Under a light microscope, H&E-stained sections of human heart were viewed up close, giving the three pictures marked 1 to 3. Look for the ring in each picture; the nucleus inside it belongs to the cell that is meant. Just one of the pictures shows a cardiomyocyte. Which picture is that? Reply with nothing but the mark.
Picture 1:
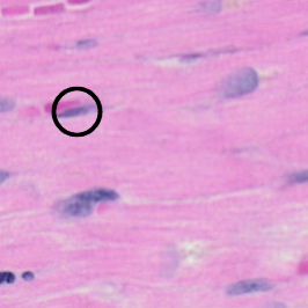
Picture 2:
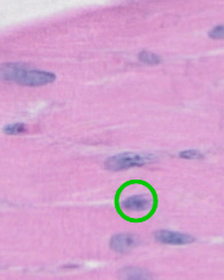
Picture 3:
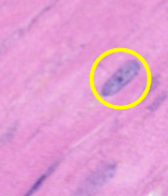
3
